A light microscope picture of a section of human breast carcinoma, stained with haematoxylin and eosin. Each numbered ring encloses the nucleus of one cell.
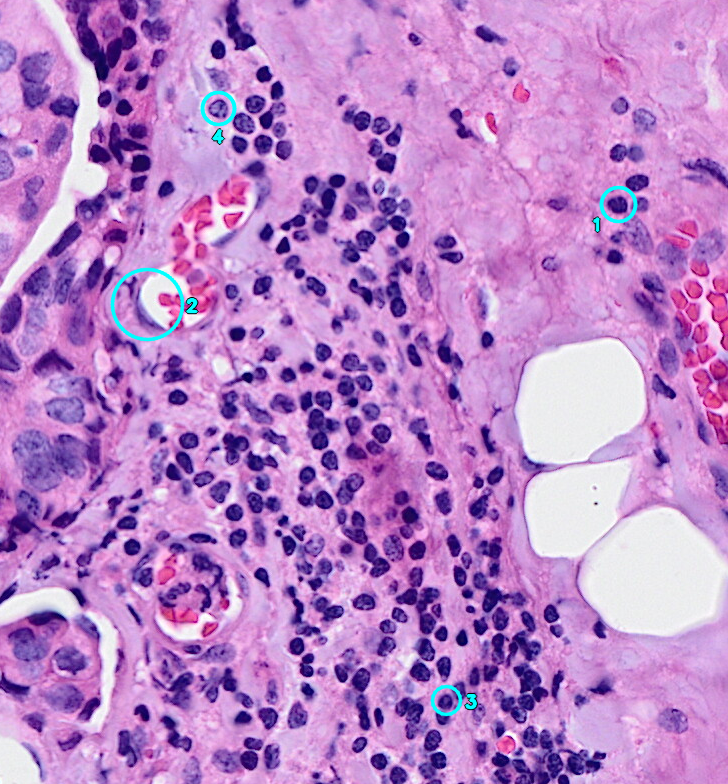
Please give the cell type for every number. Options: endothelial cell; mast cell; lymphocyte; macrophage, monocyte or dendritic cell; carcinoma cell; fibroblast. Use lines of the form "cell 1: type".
cell 1: lymphocyte
cell 2: endothelial cell
cell 3: lymphocyte
cell 4: mast cell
